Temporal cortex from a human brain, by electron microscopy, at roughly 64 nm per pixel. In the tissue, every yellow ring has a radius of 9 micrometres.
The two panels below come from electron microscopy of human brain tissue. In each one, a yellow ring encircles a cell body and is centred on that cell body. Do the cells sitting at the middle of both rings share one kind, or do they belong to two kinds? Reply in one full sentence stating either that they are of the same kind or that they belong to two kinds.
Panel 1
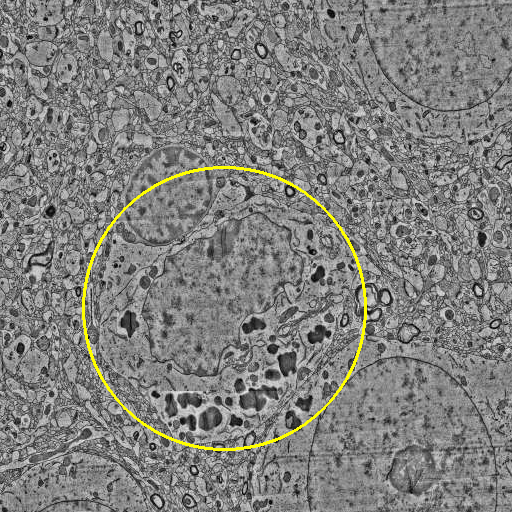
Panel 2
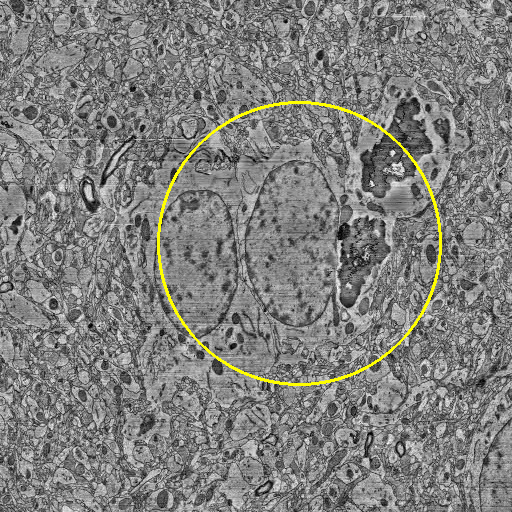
The cells at the centres of the two rings belong to two kinds.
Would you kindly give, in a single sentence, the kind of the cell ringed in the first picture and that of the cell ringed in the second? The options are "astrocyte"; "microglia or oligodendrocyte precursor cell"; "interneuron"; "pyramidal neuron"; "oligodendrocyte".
The second cell is an astrocyte, and the first cell is an interneuron.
